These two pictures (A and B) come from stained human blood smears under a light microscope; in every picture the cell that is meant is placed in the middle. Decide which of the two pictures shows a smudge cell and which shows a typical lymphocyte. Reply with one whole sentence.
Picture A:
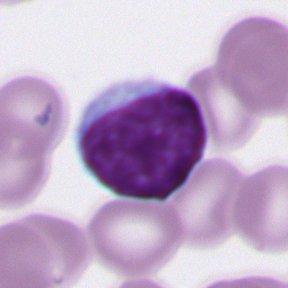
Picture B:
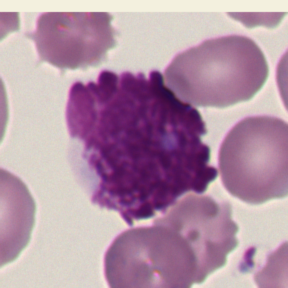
Picture B shows a smudge cell, while picture A shows a typical lymphocyte.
